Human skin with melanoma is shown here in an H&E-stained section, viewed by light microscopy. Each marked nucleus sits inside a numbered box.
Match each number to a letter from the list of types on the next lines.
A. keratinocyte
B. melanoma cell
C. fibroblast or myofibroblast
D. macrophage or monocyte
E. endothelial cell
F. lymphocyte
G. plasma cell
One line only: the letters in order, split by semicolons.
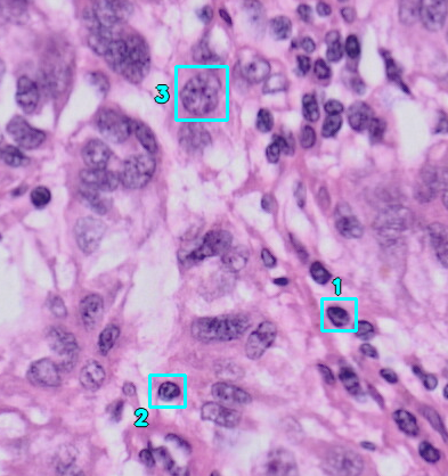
F; F; B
